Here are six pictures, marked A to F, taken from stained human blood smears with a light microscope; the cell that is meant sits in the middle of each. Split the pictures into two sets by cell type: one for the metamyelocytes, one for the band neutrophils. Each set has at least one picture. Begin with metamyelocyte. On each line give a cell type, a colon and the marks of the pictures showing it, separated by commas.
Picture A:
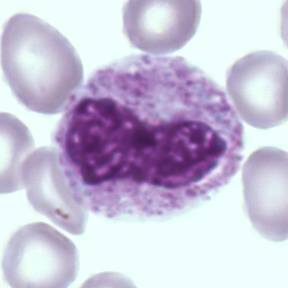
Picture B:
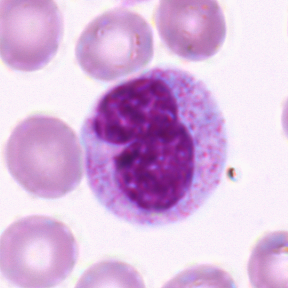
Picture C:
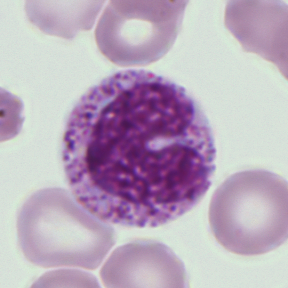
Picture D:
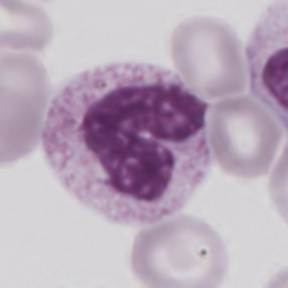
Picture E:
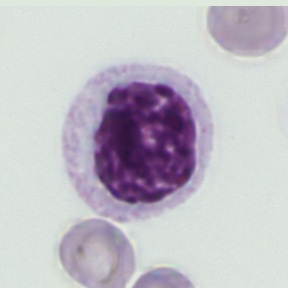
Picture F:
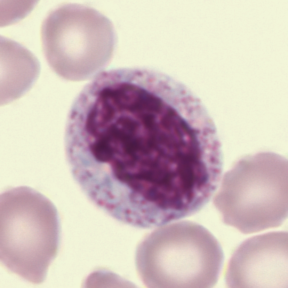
metamyelocyte: A, E, F
band neutrophil: B, C, D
